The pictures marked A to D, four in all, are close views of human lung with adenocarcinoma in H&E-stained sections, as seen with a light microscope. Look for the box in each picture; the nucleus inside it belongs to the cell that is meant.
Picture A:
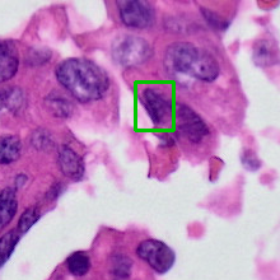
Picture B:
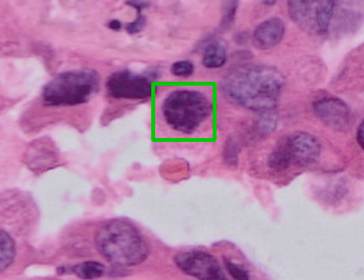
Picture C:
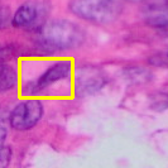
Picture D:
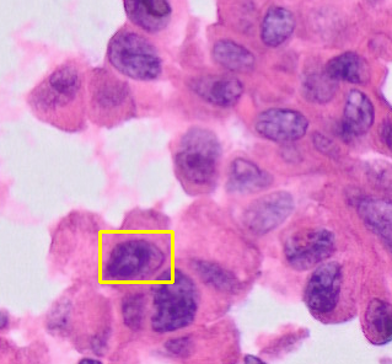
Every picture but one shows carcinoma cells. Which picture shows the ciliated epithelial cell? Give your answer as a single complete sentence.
Picture C shows the ciliated epithelial cell.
